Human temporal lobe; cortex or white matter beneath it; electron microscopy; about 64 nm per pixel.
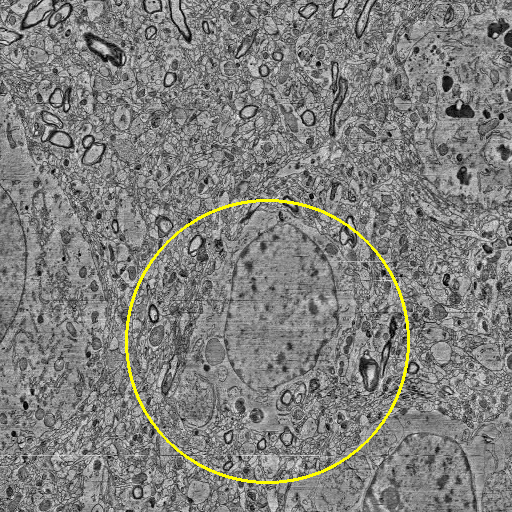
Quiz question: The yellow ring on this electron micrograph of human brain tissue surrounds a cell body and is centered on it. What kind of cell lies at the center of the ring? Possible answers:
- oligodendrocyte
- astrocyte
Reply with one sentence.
The ring's center lies on an astrocyte.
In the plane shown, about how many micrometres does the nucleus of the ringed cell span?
The nucleus comes to approximately 11 by 7 micrometres and is clearly longer than it is wide in this plane.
